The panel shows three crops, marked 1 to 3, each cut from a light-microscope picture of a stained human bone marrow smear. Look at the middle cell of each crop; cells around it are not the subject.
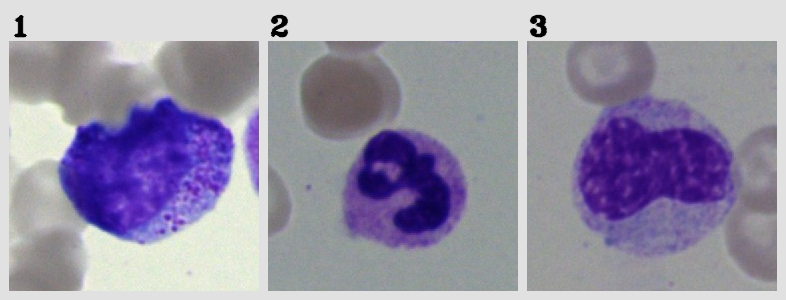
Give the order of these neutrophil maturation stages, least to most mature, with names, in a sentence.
The maturity sequence, least mature to most mature, is crop 1 (a promyelocyte), crop 3 (a band neutrophil) and crop 2 (a segmented neutrophil).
